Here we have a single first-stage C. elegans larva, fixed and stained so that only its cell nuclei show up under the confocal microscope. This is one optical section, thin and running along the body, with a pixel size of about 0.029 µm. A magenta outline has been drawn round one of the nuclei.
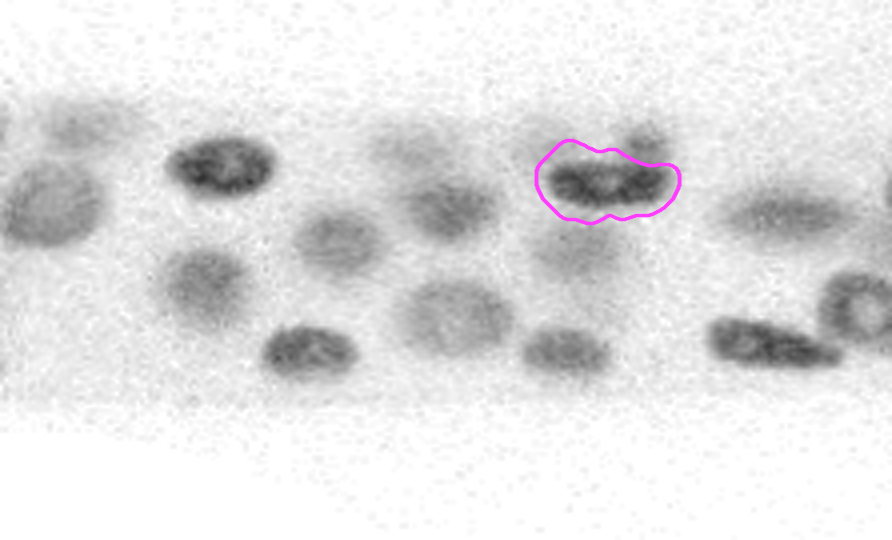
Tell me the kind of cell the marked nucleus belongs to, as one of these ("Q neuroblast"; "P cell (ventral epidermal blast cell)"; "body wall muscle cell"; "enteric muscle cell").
body wall muscle cell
